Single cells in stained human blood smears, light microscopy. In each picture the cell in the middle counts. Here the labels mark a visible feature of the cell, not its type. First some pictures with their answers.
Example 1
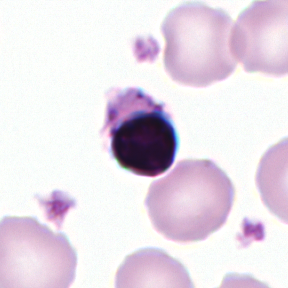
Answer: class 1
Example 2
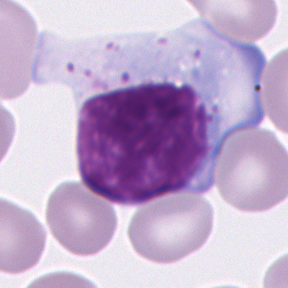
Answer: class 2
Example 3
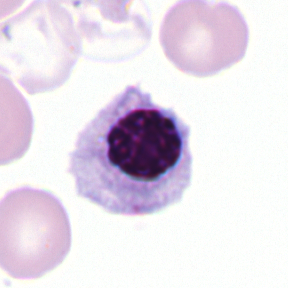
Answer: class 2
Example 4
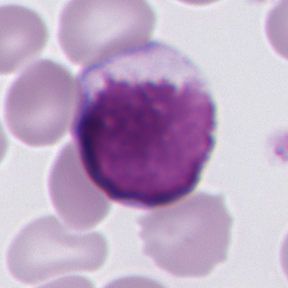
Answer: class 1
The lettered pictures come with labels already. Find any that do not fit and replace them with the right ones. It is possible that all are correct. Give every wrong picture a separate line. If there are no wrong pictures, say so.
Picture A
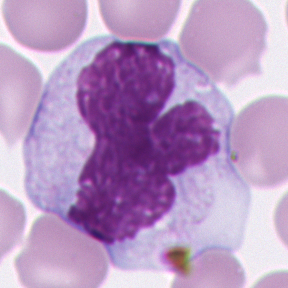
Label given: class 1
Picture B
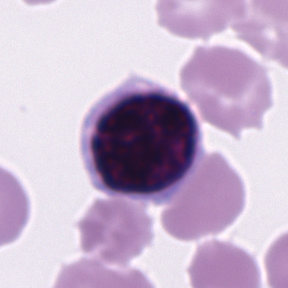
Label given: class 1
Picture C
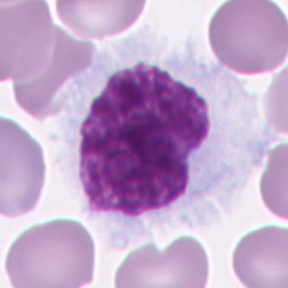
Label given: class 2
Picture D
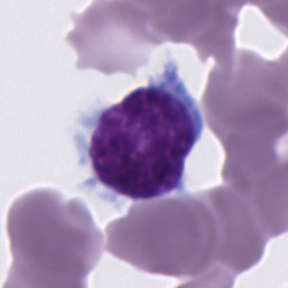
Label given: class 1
A: not class 1 but class 2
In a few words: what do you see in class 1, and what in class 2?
class 1, scant cytoplasm; class 2, abundant cytoplasm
